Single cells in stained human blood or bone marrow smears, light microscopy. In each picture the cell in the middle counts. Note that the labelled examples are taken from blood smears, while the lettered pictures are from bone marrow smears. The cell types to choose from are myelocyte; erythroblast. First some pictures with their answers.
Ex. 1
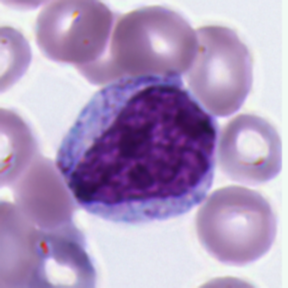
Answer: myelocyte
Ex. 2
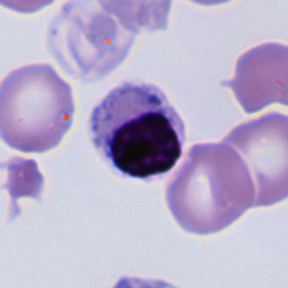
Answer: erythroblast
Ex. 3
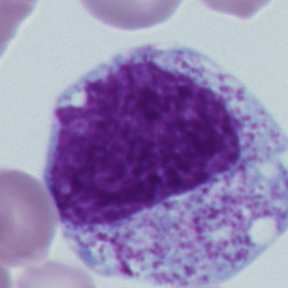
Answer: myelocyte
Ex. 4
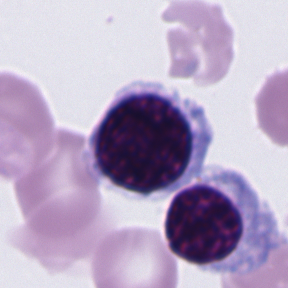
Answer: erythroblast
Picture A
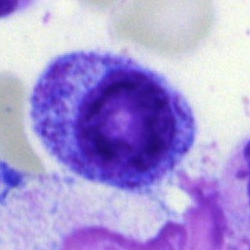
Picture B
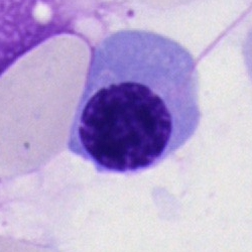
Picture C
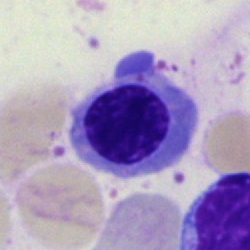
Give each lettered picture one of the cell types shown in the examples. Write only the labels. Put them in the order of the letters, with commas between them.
myelocyte, erythroblast, erythroblast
